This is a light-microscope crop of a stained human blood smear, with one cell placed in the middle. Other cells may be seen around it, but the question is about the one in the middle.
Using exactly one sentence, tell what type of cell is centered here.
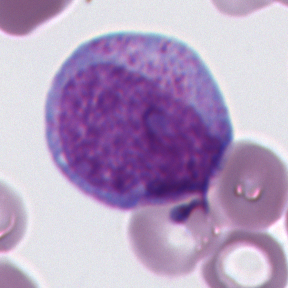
The middle of this crop holds an atypical promyelocyte.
